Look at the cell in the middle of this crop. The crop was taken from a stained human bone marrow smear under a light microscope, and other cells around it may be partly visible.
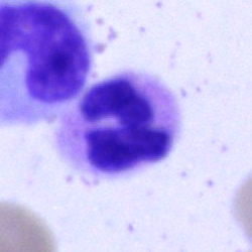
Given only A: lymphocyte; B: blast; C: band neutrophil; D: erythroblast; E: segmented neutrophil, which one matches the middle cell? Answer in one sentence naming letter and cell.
In this crop the central cell is a segmented neutrophil, which option E correctly states.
